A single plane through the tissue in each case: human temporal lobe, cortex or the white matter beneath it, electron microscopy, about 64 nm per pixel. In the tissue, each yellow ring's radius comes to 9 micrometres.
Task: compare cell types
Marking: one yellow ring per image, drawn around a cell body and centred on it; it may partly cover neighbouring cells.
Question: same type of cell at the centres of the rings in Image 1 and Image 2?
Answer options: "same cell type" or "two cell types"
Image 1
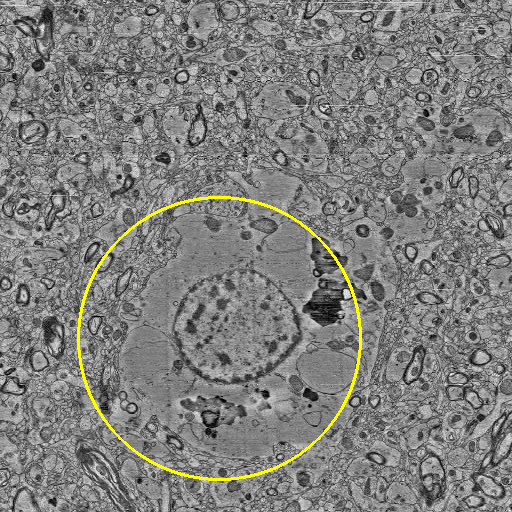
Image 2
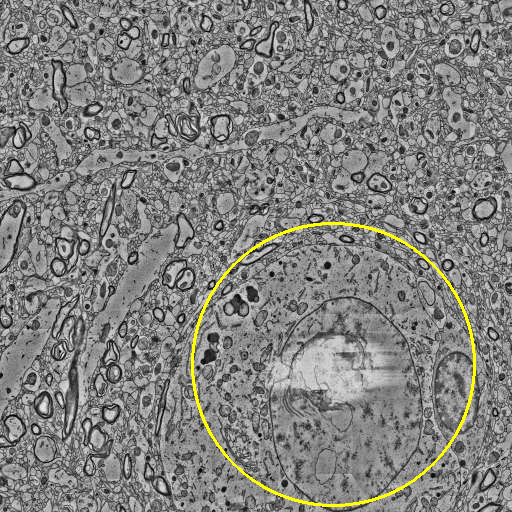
two cell types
